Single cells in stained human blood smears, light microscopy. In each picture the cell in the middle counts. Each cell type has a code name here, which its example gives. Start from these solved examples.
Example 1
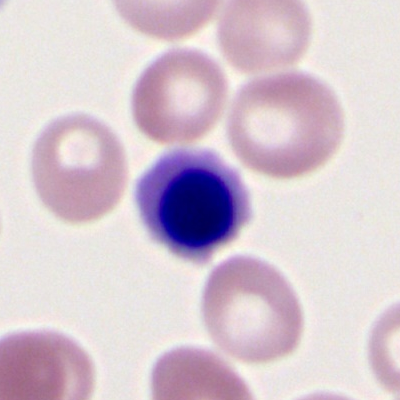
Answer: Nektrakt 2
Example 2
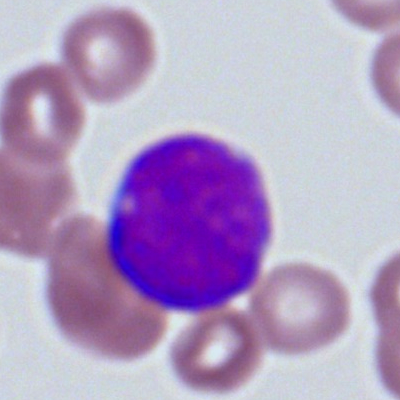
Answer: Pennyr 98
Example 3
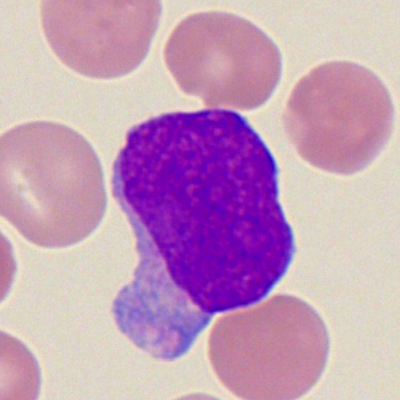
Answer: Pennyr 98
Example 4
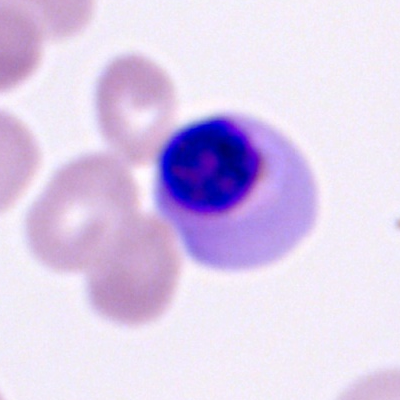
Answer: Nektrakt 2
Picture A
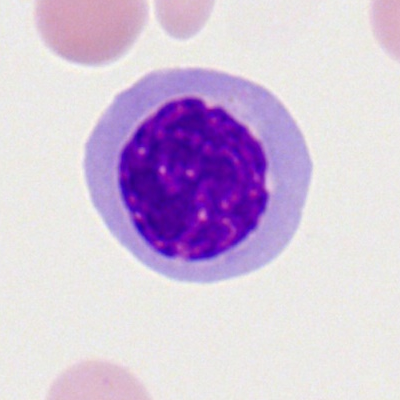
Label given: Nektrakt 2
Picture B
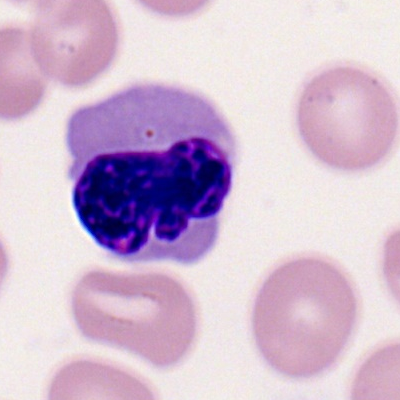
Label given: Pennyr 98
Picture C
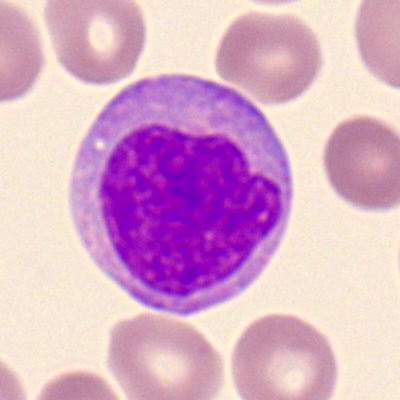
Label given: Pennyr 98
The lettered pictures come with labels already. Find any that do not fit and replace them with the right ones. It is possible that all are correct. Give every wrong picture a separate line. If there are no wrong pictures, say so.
B should be Nektrakt 2, not Pennyr 98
